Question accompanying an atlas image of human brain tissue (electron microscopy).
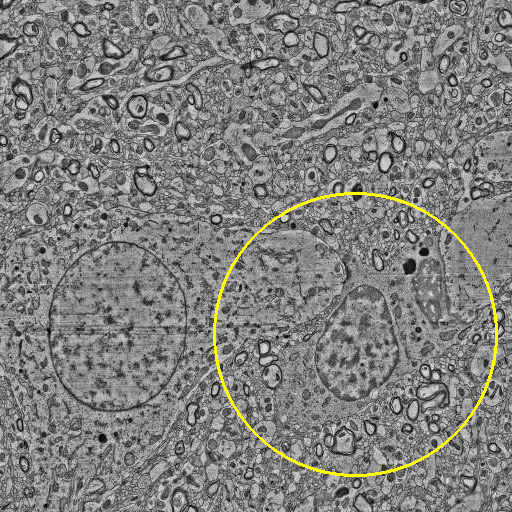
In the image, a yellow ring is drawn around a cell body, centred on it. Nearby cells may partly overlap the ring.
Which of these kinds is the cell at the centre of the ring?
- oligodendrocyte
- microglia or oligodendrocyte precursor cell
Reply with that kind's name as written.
oligodendrocyte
